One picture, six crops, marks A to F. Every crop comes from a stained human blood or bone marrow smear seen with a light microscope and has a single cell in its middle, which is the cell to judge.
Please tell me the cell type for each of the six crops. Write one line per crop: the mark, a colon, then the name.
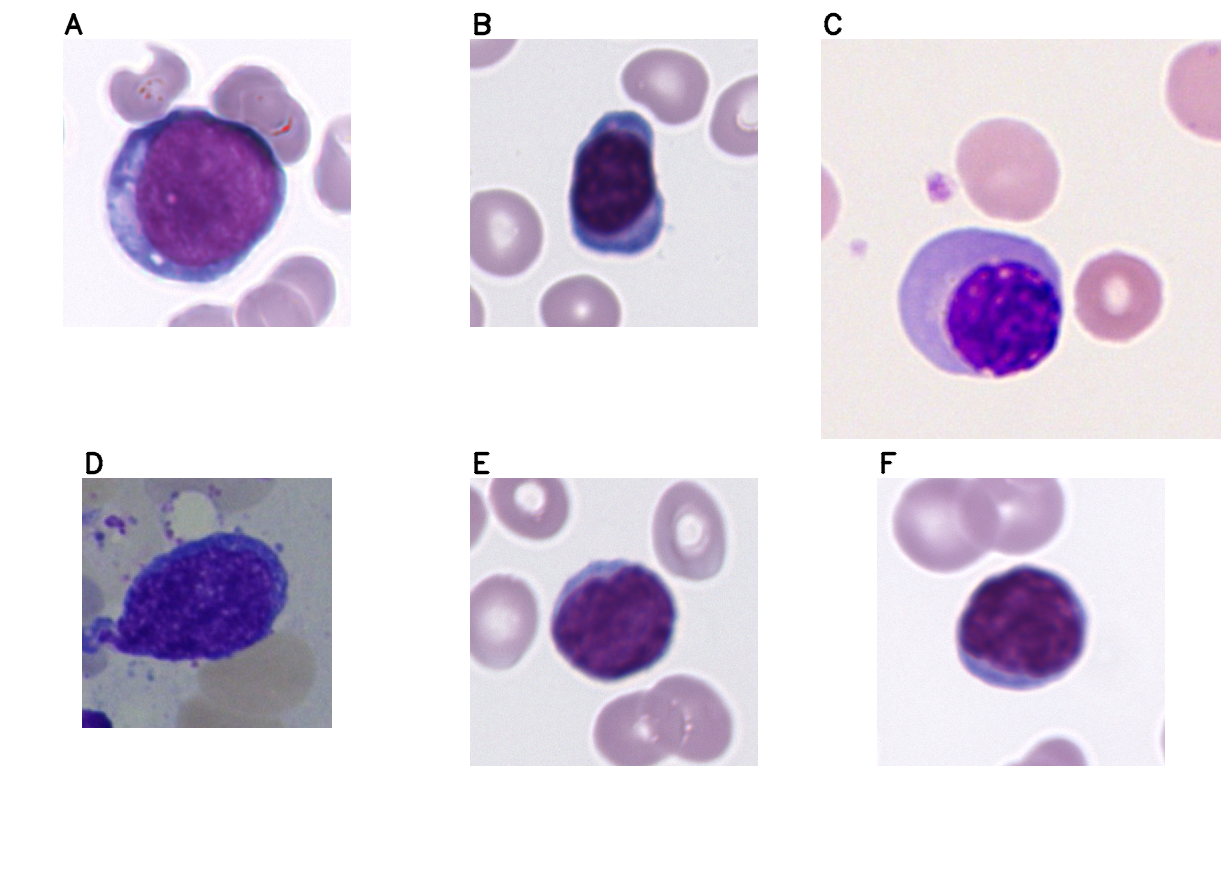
A: blast
B: erythroblast
C: erythroblast
D: blast
E: lymphocyte
F: lymphocyte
